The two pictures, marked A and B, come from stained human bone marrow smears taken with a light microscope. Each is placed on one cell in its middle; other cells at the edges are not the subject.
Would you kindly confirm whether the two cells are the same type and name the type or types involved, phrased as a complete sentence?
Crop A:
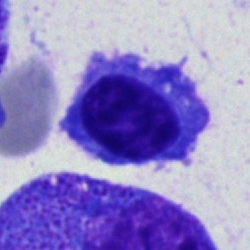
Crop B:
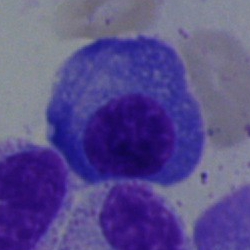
Yes, the centre cells of both crops are plasma cells.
